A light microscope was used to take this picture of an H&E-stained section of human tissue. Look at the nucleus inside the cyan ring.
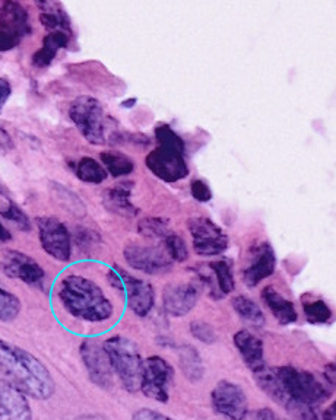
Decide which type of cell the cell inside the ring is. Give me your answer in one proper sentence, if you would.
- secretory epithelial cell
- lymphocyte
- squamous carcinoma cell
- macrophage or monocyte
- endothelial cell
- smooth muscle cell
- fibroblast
As classified here, the cell inside the ring is a squamous carcinoma cell.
